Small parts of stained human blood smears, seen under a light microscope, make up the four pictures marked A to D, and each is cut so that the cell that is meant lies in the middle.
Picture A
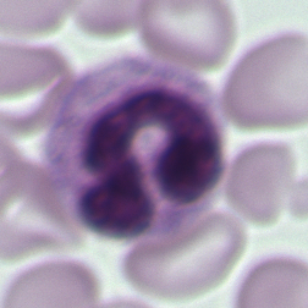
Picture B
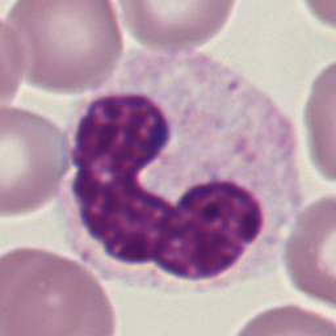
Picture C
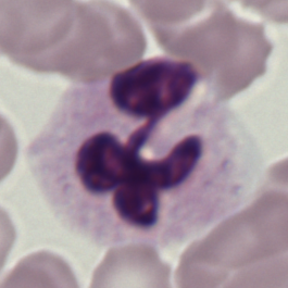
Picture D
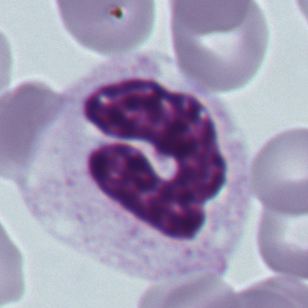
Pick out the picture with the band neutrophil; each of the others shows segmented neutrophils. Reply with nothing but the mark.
B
